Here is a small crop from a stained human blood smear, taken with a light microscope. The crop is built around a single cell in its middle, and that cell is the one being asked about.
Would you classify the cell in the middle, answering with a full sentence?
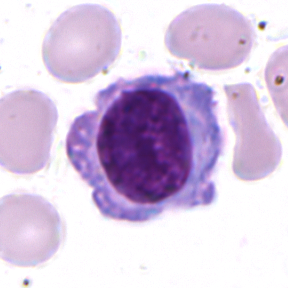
Within this crop, a plasma cell occupies the central position.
